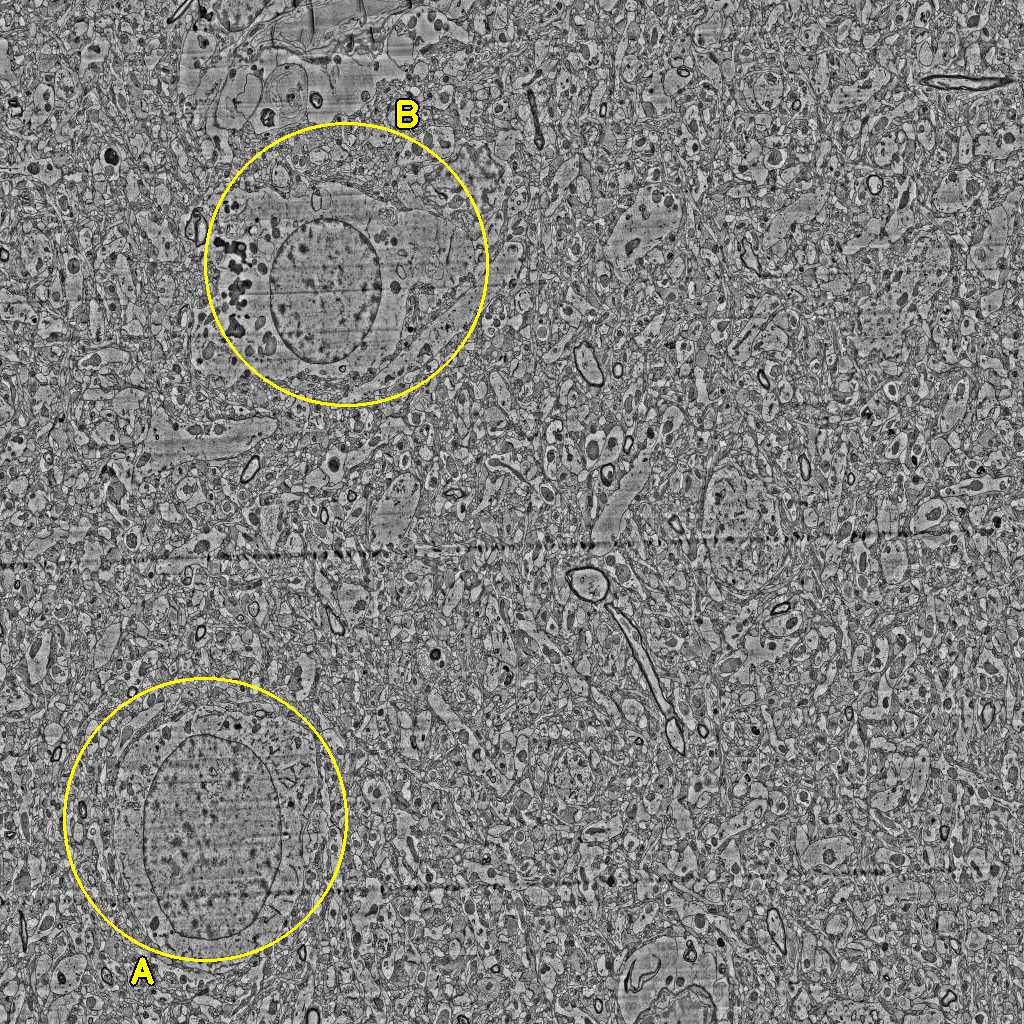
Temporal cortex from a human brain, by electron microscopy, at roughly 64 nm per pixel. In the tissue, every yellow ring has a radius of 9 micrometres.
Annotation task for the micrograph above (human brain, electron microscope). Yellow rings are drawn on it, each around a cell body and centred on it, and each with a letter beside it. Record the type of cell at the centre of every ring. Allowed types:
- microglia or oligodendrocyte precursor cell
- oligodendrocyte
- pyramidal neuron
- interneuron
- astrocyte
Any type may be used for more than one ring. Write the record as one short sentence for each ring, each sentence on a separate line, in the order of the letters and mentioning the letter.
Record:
The cell centred in ring A is a pyramidal neuron.
The cell centred in ring B is an astrocyte.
